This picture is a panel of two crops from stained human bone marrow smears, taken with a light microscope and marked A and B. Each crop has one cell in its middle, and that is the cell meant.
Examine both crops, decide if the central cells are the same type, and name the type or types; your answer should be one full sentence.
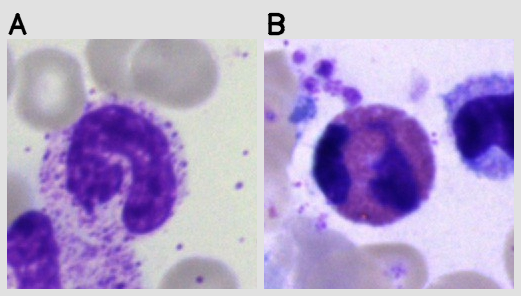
No, crop B centres on an eosinophil, and crop A centres on a segmented neutrophil.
